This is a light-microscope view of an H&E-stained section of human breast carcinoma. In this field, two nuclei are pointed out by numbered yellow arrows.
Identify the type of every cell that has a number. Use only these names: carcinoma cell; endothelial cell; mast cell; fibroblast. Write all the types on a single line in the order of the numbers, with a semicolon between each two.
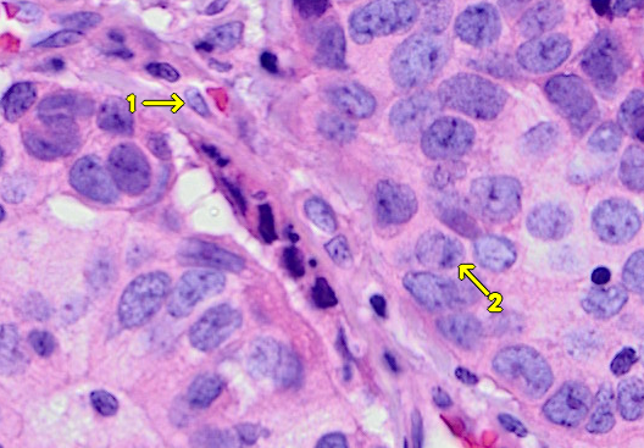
endothelial cell; carcinoma cell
